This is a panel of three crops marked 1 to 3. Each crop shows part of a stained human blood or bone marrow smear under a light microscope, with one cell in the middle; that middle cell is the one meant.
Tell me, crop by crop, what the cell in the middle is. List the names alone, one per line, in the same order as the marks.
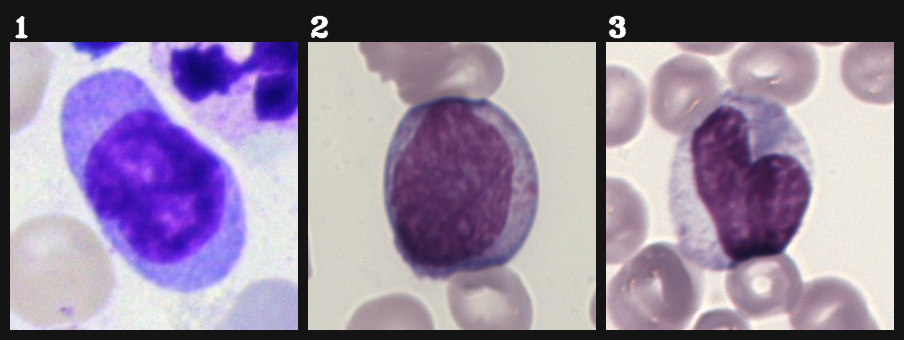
monocyte
promyelocyte
band neutrophil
